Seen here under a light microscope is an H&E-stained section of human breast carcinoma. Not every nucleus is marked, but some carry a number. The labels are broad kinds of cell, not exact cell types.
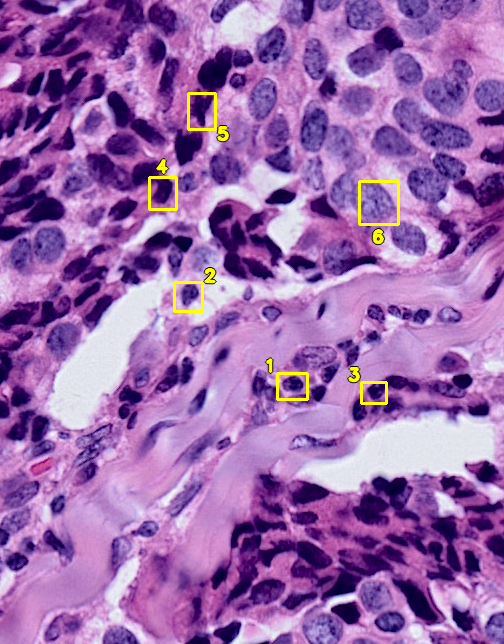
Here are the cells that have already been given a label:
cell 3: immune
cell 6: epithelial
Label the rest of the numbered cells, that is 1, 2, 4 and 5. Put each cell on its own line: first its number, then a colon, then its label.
1: immune
2: immune
4: epithelial
5: epithelial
